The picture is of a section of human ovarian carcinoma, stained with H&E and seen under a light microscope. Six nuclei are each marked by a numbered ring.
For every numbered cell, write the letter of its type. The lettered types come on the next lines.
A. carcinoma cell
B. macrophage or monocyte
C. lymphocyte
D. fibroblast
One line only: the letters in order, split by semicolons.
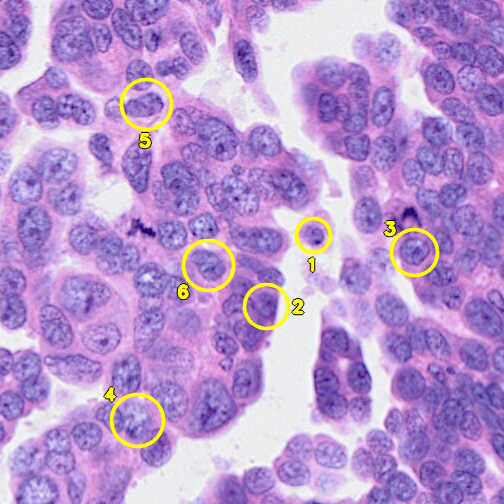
B; A; A; A; B; A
